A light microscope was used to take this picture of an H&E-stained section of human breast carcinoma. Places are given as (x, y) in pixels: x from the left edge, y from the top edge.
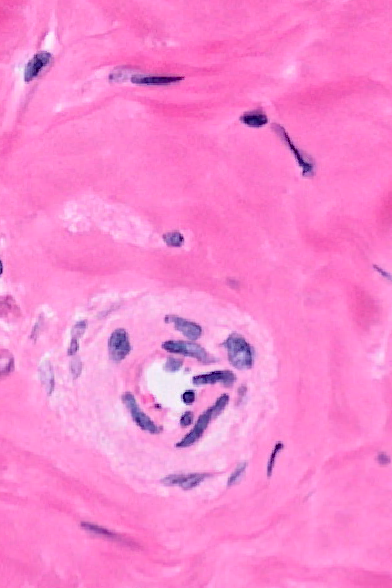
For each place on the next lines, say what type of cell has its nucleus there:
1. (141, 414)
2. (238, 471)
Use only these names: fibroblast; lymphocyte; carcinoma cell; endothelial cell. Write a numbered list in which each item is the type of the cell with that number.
1. endothelial cell
2. fibroblast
